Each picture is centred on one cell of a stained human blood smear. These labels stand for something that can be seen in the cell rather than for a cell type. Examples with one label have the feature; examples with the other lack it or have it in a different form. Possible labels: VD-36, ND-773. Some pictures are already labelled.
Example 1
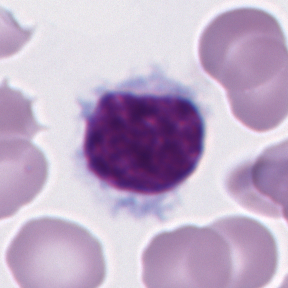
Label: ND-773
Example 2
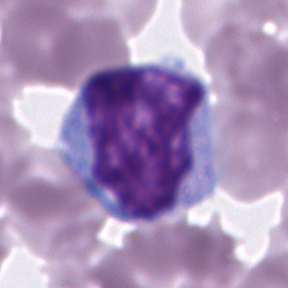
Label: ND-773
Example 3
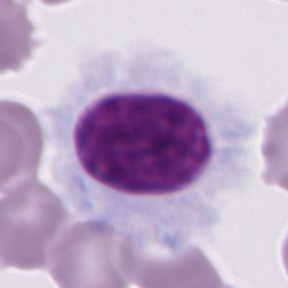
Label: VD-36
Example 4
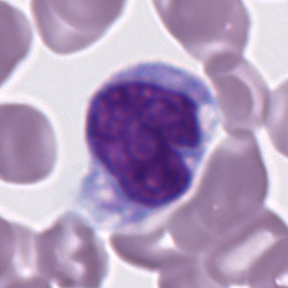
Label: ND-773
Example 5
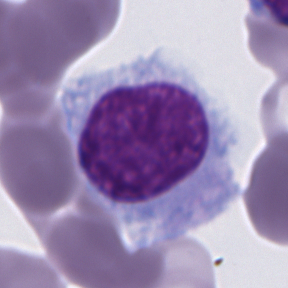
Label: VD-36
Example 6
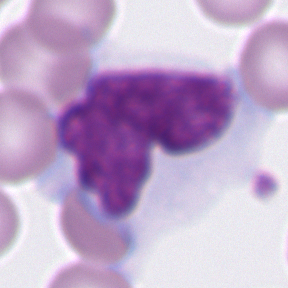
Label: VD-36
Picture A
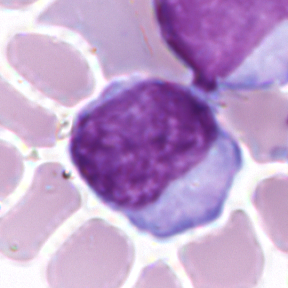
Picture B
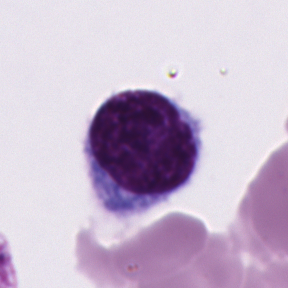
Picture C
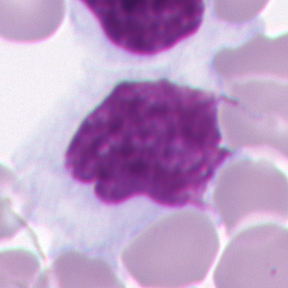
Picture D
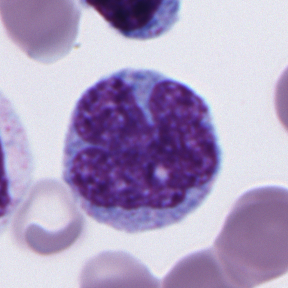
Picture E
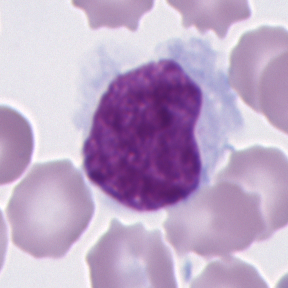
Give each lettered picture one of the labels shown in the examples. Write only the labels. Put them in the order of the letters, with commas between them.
ND-773, ND-773, VD-36, ND-773, ND-773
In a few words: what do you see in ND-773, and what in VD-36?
ND-773, scant cytoplasm; VD-36, abundant cytoplasm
